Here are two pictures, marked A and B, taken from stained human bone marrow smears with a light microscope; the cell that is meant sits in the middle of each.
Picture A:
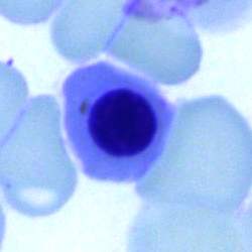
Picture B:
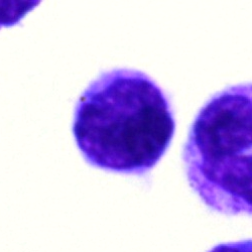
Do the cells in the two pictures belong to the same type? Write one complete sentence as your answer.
No, picture A shows an erythroblast and picture B shows a lymphocyte.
